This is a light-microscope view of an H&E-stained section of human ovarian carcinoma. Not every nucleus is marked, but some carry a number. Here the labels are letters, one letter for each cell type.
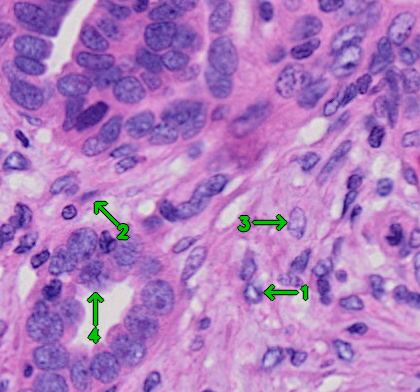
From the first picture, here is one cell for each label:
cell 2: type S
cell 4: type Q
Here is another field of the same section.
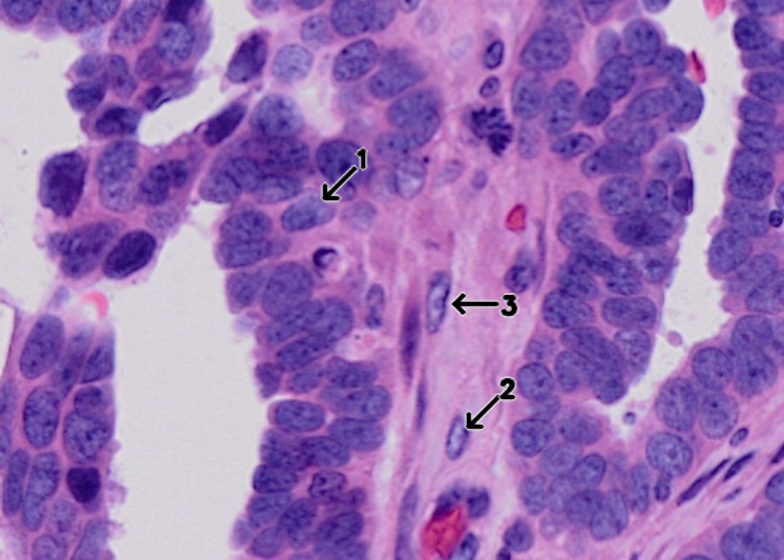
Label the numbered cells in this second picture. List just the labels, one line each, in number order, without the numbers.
type Q
type S
type S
